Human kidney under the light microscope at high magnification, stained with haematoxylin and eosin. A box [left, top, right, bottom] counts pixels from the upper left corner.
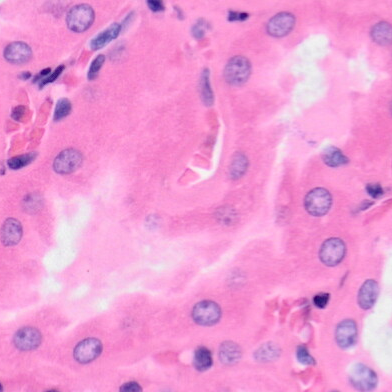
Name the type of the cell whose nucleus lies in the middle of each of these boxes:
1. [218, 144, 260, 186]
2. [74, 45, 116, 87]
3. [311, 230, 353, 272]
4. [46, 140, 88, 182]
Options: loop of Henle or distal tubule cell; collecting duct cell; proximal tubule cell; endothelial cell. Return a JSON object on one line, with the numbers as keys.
{"1": "proximal tubule cell", "2": "endothelial cell", "3": "proximal tubule cell", "4": "proximal tubule cell"}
